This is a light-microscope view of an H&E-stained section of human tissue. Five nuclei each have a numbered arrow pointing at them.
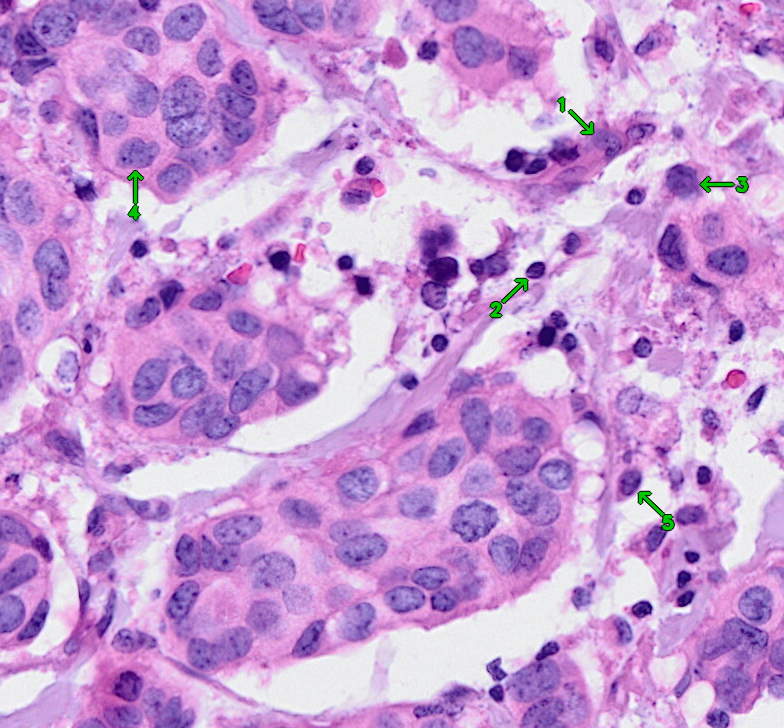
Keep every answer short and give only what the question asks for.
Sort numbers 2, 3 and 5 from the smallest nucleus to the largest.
2, 5, 3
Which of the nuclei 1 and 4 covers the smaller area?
1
